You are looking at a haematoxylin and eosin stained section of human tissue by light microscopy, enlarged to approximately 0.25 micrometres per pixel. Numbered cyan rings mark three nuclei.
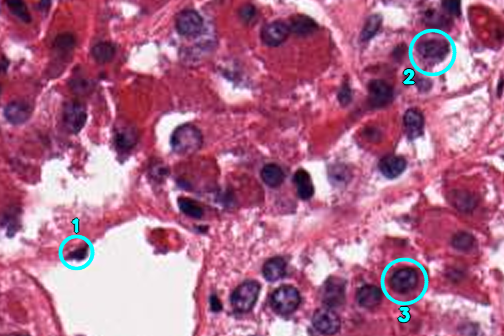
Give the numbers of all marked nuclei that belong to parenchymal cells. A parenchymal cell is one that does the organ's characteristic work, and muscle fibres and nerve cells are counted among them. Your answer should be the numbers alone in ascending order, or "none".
2, 3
